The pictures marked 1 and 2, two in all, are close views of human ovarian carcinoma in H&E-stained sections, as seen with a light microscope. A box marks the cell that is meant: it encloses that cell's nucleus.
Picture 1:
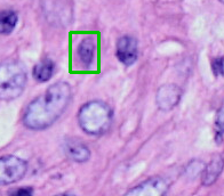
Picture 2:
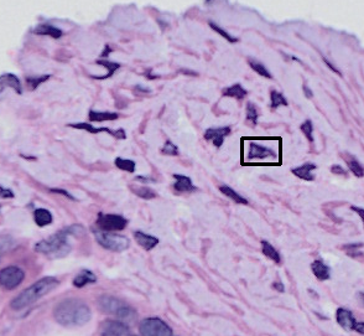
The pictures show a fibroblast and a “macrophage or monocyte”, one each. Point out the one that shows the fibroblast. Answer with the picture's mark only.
2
